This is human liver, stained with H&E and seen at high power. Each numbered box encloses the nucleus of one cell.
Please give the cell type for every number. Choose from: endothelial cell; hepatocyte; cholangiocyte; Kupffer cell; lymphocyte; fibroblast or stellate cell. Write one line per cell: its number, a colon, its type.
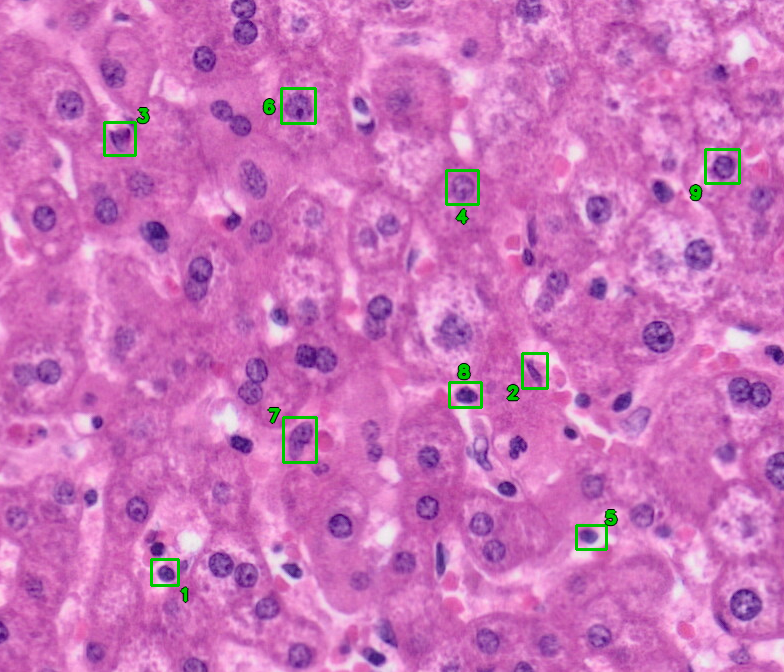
1: lymphocyte
2: endothelial cell
3: endothelial cell
4: hepatocyte
5: lymphocyte
6: hepatocyte
7: Kupffer cell
8: lymphocyte
9: hepatocyte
